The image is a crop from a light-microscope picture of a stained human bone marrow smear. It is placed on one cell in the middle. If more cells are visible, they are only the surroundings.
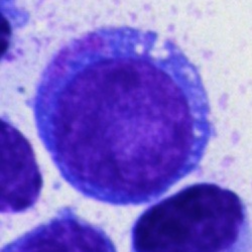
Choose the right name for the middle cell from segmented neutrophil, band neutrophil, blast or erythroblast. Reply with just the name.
blast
